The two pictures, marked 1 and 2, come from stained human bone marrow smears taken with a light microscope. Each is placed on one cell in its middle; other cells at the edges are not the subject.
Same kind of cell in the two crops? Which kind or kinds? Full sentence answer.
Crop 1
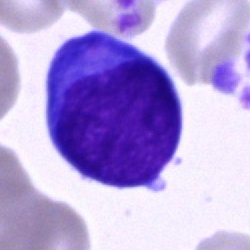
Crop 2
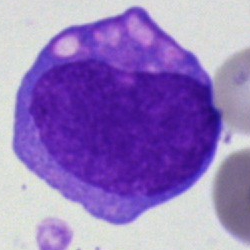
Yes, both crops show blasts in the middle.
